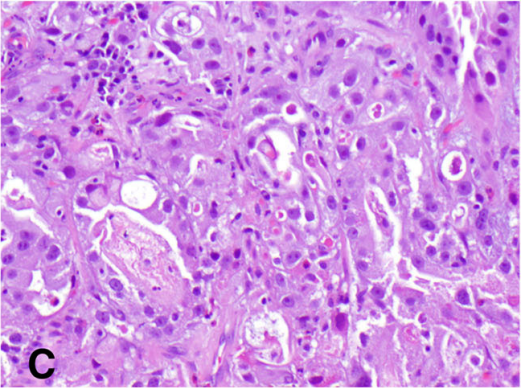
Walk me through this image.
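This is a poorly differentiated tumor area in which atypical tumor cells form small glands and solid growth. The cells have enlarged, pleomorphic nuclei with visible nucleoli and moderate amounts of pink cytoplasm. Some cells surround small round lumina containing pink material, while others lie in solid sheets and cords within the stroma. A cluster of small dark inflammatory cells is seen at the upper edge.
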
